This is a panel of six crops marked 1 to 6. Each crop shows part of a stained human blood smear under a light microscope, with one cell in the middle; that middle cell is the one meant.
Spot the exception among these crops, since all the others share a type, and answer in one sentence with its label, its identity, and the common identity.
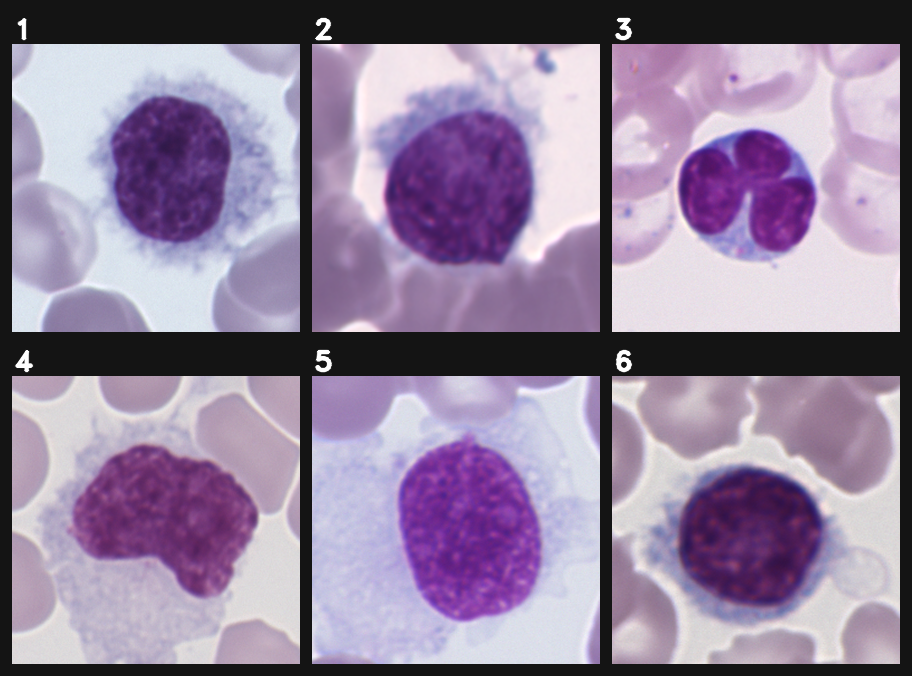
For this set, crop 3 is a typical lymphocyte, and all the rest are hairy cells.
